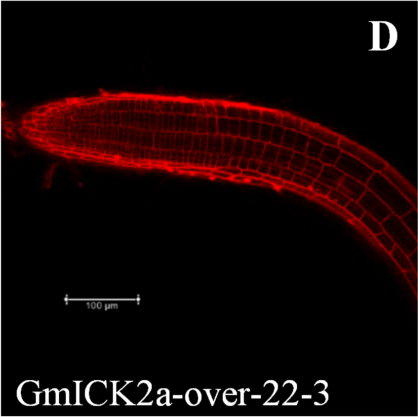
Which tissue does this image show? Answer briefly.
root tip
